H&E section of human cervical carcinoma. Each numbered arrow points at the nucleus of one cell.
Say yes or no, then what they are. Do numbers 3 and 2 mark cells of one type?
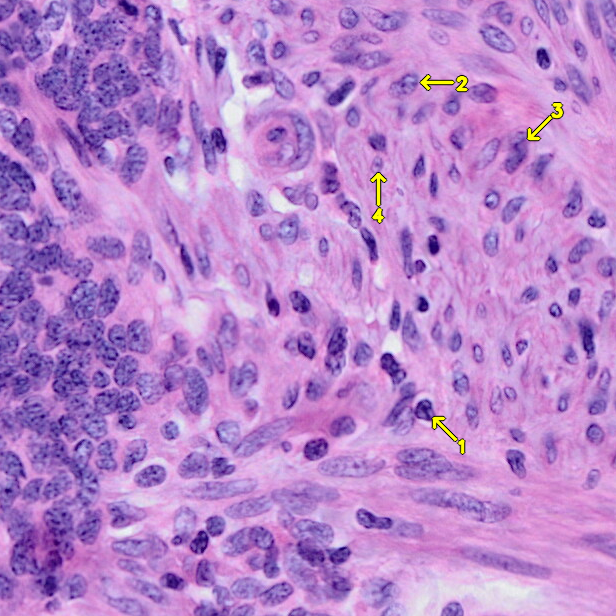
Yes, cells 3 and 2 are, both of them, smooth muscle cells.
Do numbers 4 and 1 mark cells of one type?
No, that is not right: cell 4 is a smooth muscle cell and cell 1 is a lymphocyte.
